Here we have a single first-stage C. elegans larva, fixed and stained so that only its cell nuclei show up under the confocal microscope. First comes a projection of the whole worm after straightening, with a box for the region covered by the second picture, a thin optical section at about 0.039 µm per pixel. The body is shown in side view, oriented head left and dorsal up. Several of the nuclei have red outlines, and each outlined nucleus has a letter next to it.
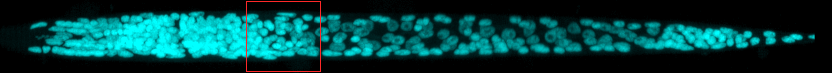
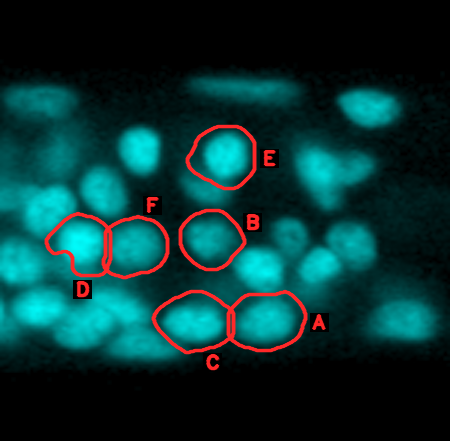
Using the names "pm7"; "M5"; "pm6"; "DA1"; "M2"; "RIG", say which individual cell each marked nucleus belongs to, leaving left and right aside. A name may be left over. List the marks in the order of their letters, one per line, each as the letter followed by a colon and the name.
A: DA1
B: pm7
C: RIG
D: M2
E: M5
F: pm6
